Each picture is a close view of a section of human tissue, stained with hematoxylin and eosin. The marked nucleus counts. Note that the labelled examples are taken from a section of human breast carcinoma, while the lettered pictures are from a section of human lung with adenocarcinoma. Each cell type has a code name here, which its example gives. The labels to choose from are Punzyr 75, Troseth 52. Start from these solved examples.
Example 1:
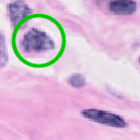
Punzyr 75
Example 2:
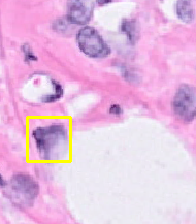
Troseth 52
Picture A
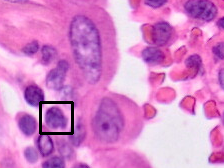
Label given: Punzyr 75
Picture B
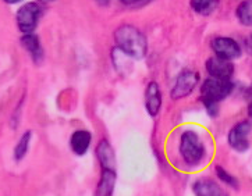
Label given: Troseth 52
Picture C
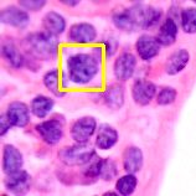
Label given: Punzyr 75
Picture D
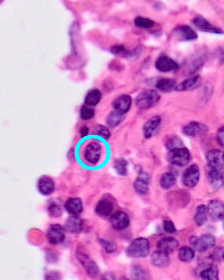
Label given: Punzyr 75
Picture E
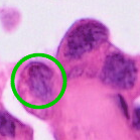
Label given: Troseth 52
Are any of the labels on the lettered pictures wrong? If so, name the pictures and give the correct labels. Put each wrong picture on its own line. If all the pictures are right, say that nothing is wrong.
B should be Punzyr 75, not Troseth 52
